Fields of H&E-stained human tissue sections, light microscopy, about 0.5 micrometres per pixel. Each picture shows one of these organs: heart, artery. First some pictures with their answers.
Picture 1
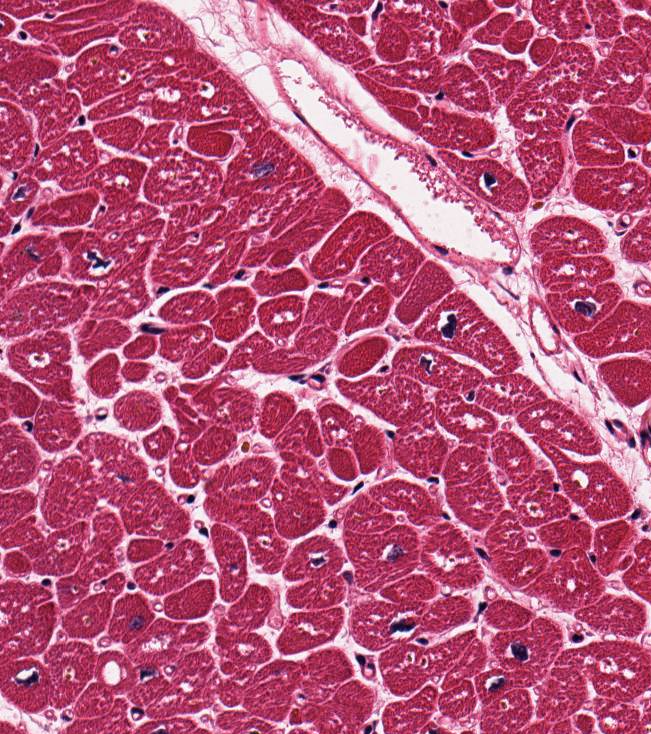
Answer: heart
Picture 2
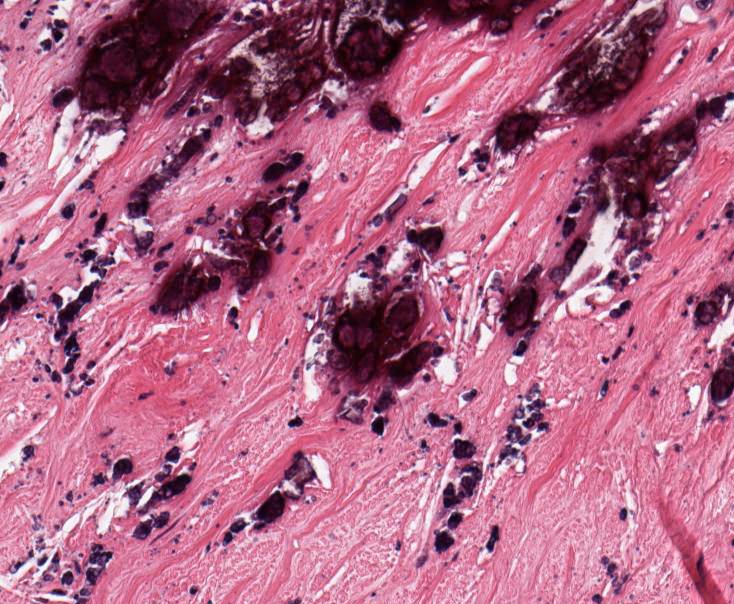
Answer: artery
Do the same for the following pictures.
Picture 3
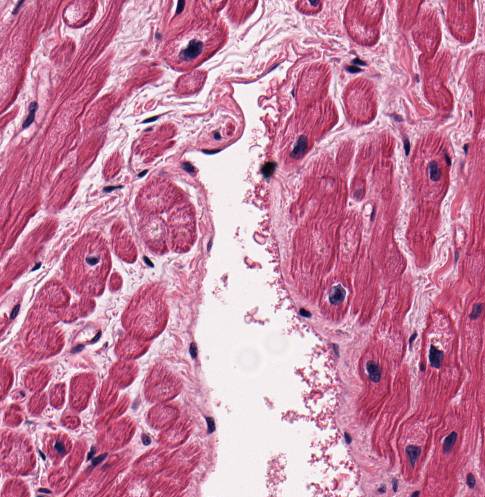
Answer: heart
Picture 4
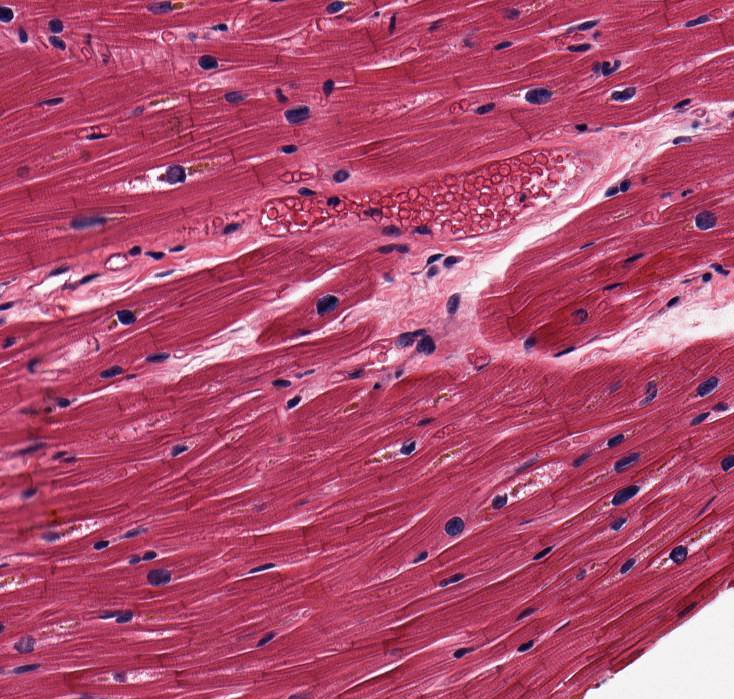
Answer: heart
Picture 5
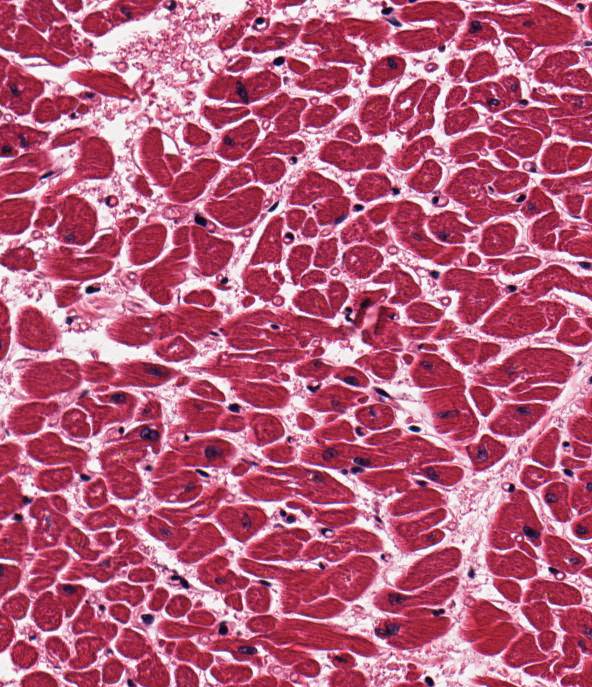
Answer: heart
